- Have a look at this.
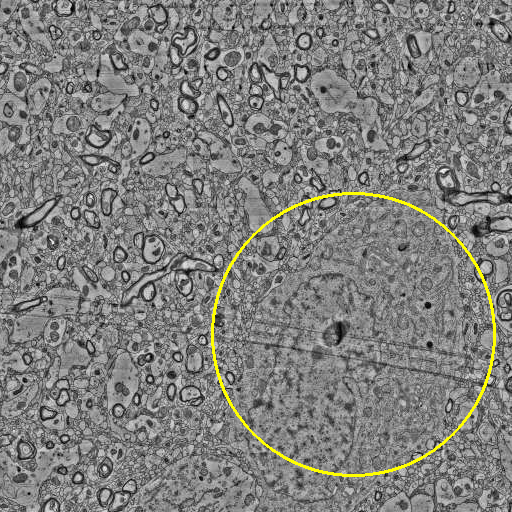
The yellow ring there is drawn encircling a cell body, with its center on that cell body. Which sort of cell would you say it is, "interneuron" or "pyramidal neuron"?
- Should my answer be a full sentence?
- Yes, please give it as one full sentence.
For this picture, an interneuron is the cell where the yellow ring has its center.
